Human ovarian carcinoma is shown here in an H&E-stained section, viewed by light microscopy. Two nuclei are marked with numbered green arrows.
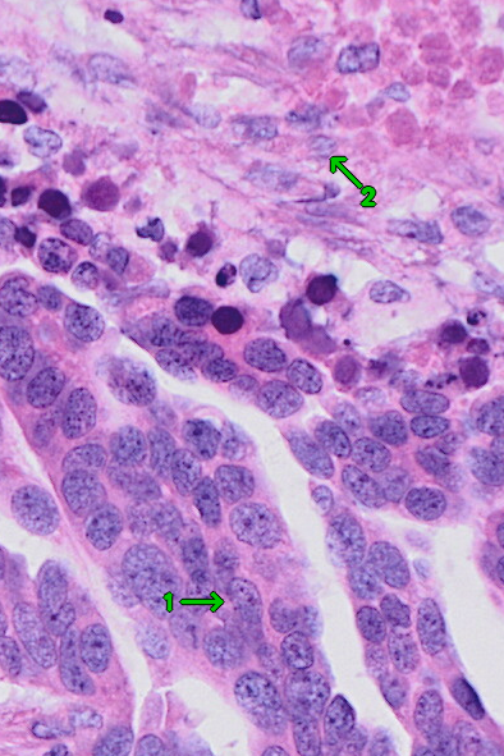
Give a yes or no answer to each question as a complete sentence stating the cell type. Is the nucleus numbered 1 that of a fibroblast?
No; cell 1 is a carcinoma cell, not a fibroblast.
